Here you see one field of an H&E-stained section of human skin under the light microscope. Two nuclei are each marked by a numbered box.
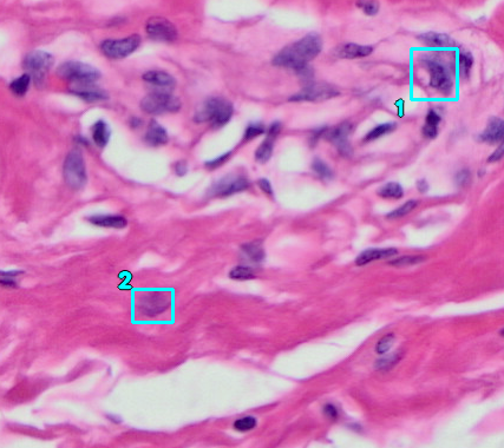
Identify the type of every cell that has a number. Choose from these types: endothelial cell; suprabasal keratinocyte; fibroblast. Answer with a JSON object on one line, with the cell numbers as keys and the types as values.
{"1": "endothelial cell", "2": "fibroblast"}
